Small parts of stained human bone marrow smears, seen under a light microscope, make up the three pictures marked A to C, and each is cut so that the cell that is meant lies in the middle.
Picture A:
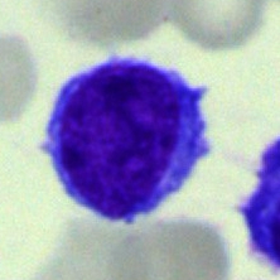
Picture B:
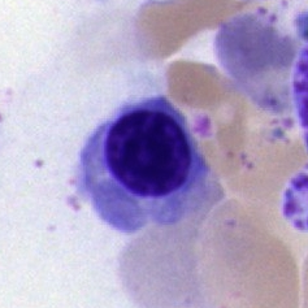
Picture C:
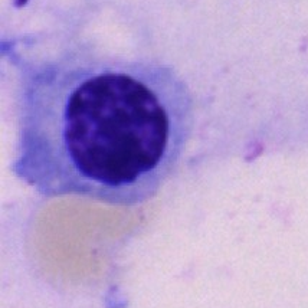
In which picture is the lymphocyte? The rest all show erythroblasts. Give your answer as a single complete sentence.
The lymphocyte is the one in picture A.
